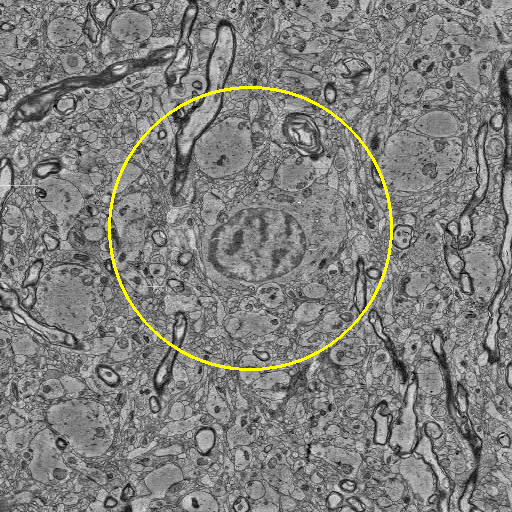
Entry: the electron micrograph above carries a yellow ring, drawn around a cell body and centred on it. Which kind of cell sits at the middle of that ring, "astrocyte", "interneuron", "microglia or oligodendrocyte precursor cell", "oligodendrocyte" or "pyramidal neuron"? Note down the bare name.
oligodendrocyte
